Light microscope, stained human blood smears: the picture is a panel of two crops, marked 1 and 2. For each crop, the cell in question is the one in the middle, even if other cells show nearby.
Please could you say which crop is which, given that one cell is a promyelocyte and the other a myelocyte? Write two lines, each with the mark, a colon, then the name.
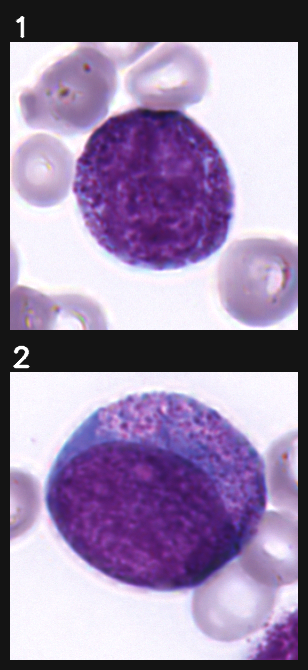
1: myelocyte
2: promyelocyte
